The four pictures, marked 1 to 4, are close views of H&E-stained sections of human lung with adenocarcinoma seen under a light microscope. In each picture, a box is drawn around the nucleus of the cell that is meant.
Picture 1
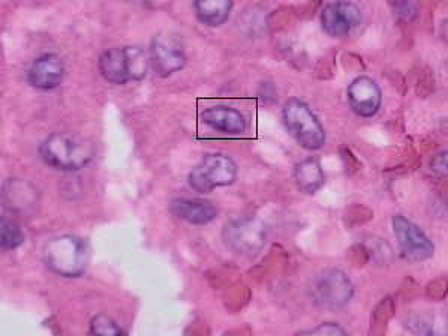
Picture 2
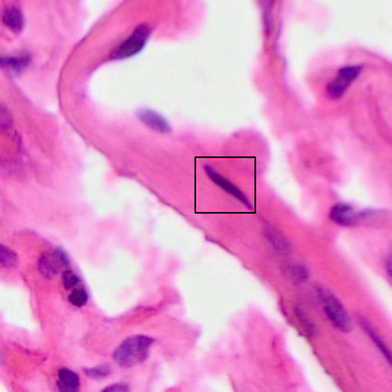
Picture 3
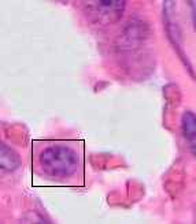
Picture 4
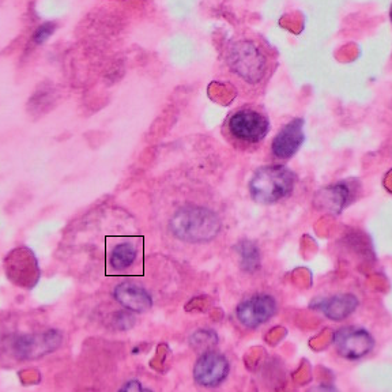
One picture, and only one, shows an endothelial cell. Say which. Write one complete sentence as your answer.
Picture 2 is the one that shows the endothelial cell.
